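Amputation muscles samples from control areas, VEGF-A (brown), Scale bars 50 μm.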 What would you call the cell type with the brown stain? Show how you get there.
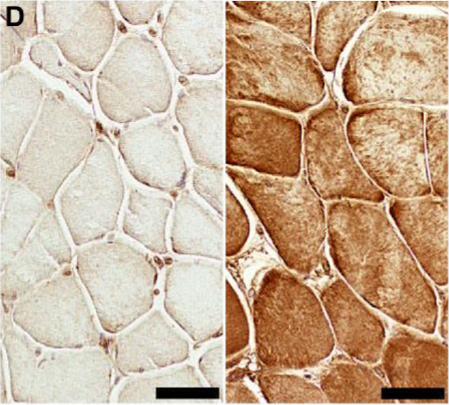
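Myofibres. Large polygonal profiles are packed closely with thin spaces between them. In one half of the panel the profiles are pale, in the other half they are filled with brown stain. Small nuclei sit at the edges of the profiles.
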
